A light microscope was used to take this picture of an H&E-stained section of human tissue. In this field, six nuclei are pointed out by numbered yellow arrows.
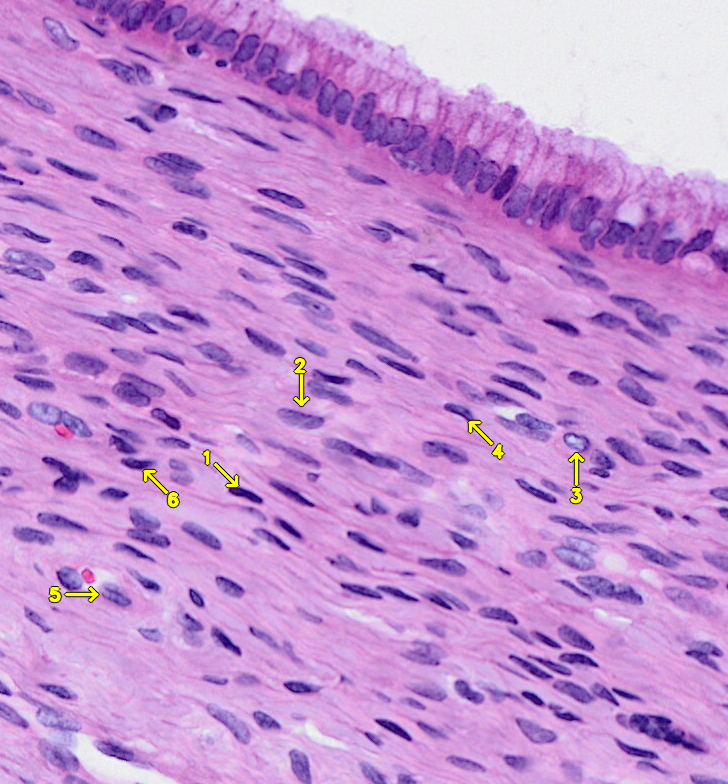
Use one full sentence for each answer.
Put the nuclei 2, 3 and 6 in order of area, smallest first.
Smallest first, the nuclei run 6, 3, 2.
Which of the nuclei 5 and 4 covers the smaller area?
The smaller nucleus is 4, and 5 covers roughly 1.5 times its area.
